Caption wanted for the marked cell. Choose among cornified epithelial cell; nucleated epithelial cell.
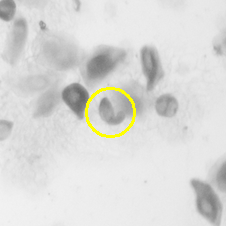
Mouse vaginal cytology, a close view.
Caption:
Ringed in yellow is a cornified epithelial cell.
